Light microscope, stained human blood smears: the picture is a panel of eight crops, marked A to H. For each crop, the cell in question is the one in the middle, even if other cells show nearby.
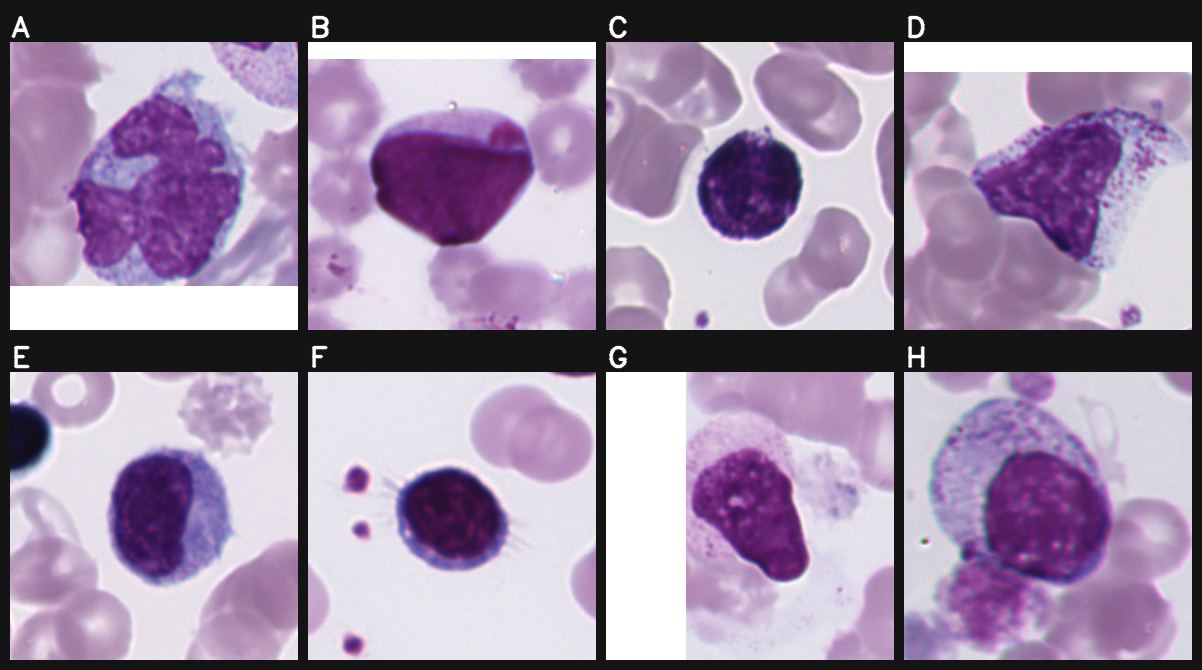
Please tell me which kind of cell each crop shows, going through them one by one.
A: monocyte
B: myeloblast
C: basophil
D: myelocyte
E: normoblast
F: large granular lymphocyte
G: band neutrophil
H: myelocyte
